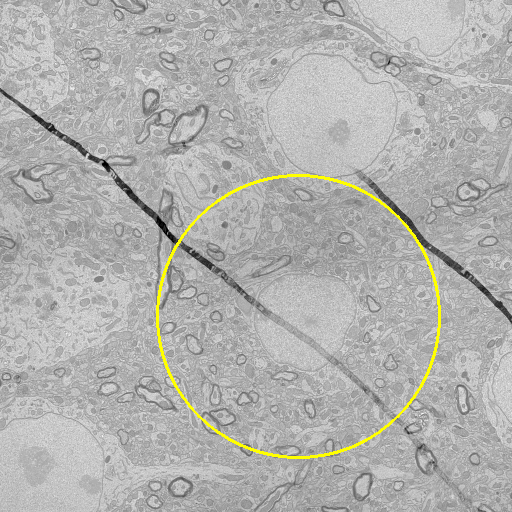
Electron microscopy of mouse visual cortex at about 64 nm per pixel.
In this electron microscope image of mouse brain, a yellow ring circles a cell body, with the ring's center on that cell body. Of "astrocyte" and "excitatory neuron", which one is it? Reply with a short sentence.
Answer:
It is an astrocyte at the center of the ring.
